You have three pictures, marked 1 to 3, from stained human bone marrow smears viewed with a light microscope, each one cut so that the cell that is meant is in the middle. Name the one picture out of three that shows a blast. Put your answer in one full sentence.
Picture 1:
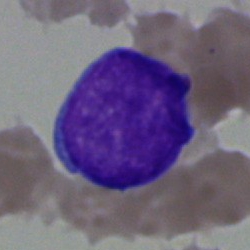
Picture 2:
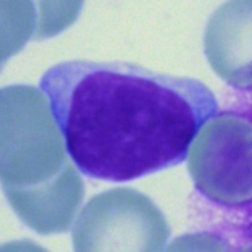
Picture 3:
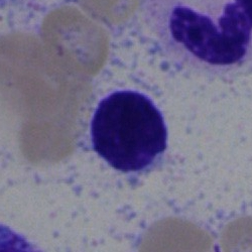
It is picture 1 that shows the blast.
